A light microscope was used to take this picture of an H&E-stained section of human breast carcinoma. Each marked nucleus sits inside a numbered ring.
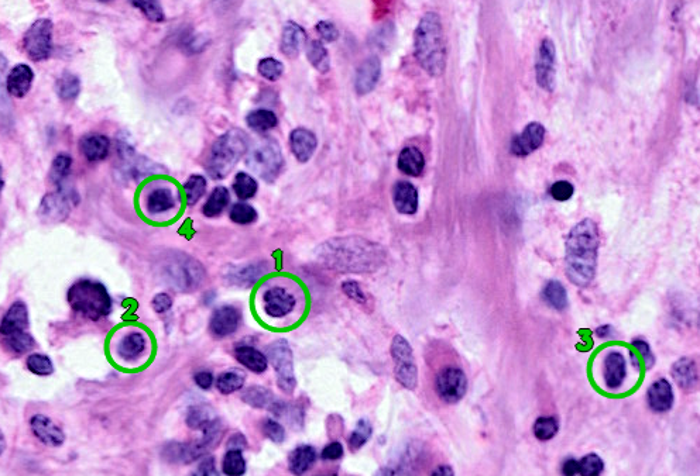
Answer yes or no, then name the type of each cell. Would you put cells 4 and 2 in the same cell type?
No, cell 4 should be called a lymphocyte, and cell 2 should be called a mast cell.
